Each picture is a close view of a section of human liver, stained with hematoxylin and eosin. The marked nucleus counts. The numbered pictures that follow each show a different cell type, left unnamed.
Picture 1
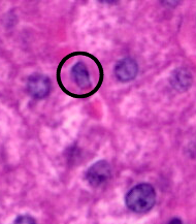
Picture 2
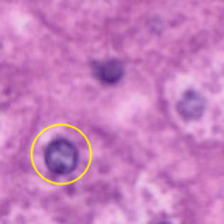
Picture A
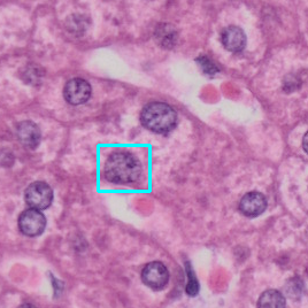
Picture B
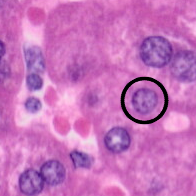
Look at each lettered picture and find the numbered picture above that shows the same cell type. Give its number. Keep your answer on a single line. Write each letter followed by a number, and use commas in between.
A 2, B 2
